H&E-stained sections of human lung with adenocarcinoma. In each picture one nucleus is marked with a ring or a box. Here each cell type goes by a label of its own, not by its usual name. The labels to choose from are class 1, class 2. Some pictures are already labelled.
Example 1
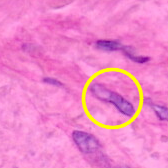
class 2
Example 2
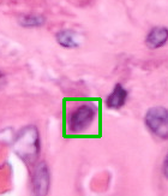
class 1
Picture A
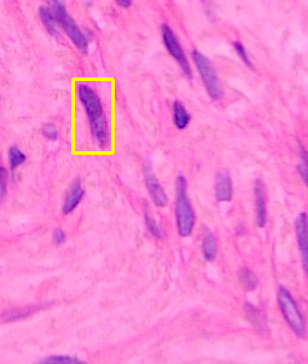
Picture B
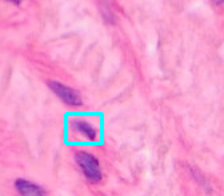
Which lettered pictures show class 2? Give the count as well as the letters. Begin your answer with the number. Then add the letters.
Count: 2 (A, B)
